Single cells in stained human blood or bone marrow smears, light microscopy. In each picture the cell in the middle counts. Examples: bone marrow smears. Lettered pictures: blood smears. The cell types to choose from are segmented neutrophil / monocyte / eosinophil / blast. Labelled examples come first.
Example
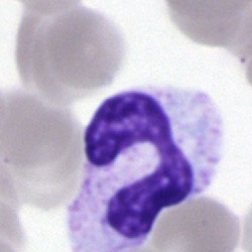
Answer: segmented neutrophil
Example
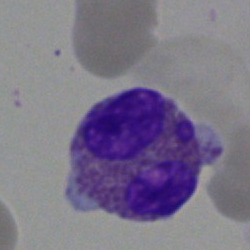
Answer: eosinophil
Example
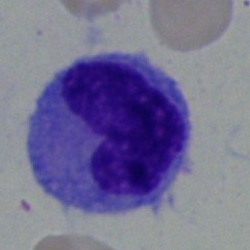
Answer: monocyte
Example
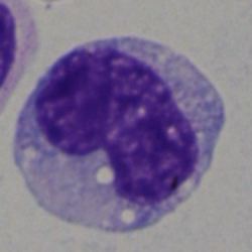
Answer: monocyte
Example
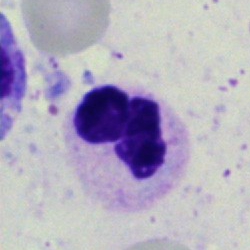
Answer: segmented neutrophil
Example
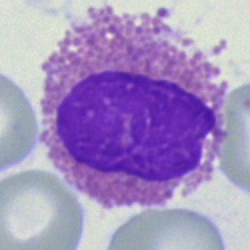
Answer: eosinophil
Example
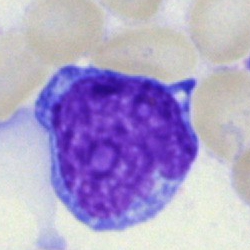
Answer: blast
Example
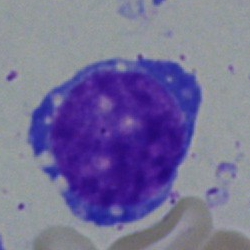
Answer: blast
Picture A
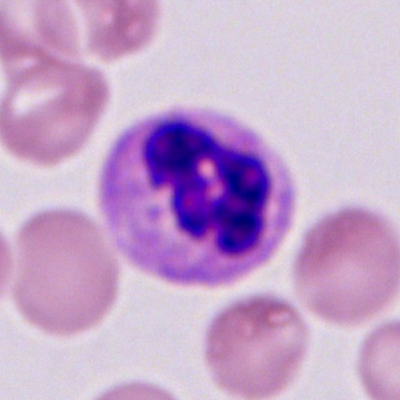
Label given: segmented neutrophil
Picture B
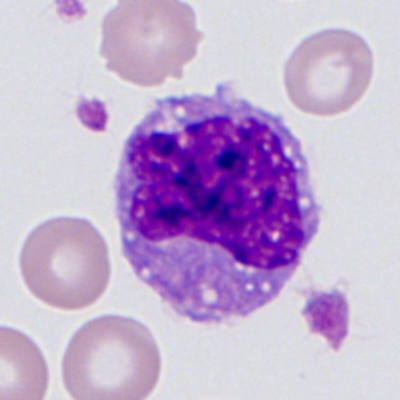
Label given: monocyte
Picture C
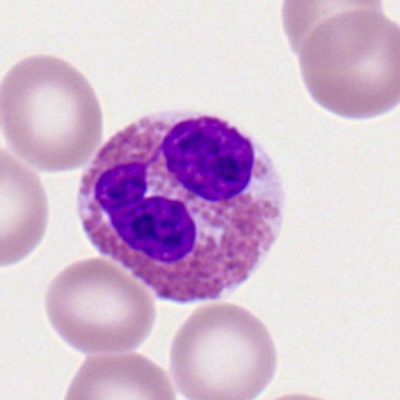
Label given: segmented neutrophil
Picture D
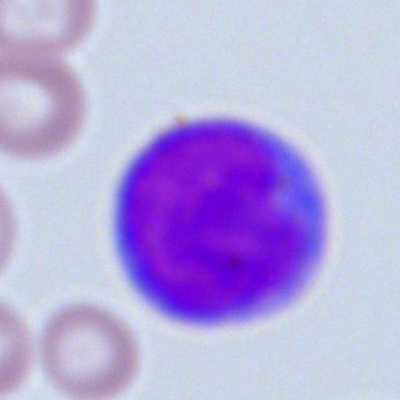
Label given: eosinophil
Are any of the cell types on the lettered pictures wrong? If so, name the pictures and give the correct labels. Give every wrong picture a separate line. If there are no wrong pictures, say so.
C: not segmented neutrophil but eosinophil
D: not eosinophil but blast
